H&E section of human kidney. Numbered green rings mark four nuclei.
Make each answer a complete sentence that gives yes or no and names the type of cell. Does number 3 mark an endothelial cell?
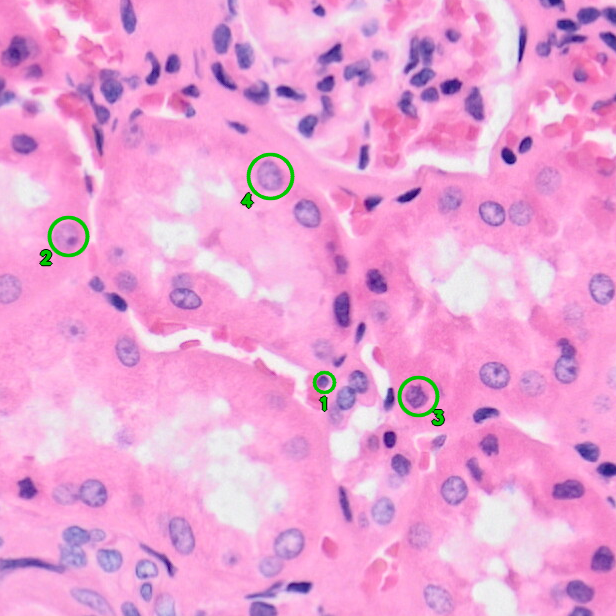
No, cell 3 is not an endothelial cell, but is instead a proximal tubule cell.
